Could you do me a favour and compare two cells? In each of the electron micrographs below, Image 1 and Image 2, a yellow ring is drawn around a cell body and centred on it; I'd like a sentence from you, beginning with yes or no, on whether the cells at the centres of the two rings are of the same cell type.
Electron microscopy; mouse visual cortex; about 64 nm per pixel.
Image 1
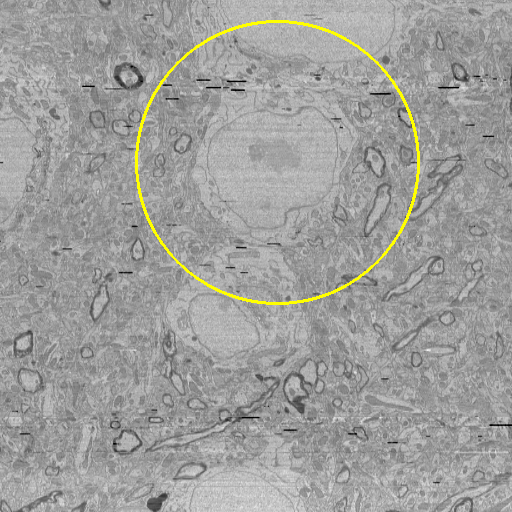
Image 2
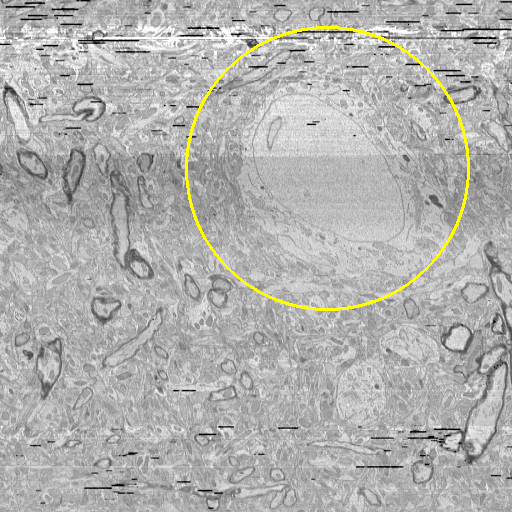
Yes, the two cells are of the same cell type.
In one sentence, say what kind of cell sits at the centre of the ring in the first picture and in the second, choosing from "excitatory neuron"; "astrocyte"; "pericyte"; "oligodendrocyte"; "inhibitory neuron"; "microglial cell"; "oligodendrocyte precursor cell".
Each of the ringed cells, first and second, is an excitatory neuron.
